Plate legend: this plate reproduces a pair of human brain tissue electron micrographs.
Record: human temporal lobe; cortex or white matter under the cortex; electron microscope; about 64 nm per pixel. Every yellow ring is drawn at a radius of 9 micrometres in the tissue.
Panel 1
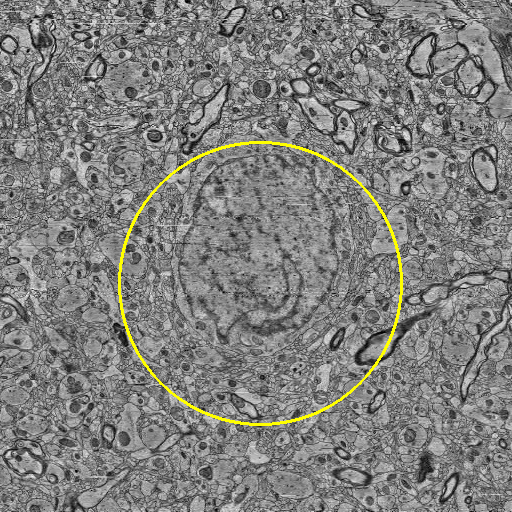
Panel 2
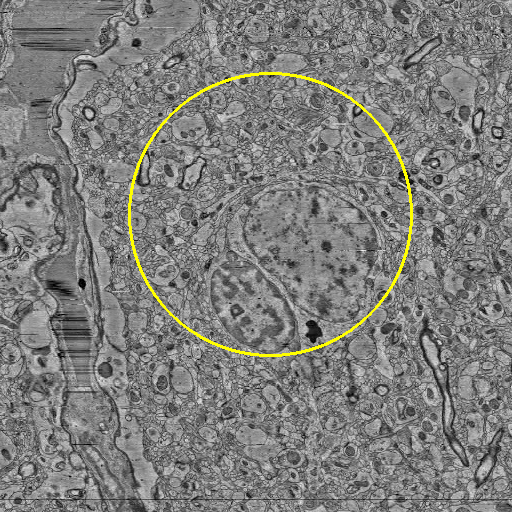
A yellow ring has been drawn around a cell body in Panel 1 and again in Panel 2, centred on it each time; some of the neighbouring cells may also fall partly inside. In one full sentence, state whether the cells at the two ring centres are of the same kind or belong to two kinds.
The ring-centred cells of Panel 1 and Panel 2 are of the same kind.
